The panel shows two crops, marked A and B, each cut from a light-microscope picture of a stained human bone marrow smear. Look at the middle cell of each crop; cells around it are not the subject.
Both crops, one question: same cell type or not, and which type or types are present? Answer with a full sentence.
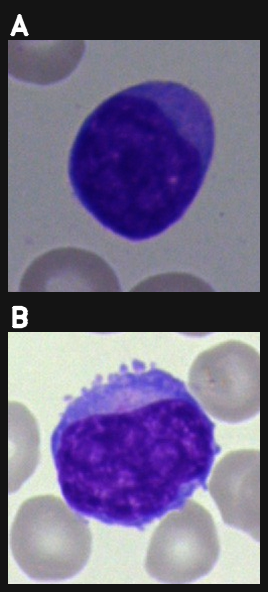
Yes, the same answer goes for both crops, namely blasts.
